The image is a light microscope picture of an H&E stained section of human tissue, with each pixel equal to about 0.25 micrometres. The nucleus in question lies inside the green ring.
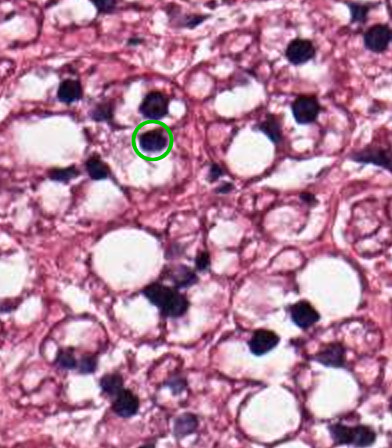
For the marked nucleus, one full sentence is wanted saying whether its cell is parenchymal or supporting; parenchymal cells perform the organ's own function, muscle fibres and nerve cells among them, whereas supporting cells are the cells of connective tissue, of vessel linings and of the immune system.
The marked nucleus is part of the parenchyma, belonging to an adrenal cortical cell.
